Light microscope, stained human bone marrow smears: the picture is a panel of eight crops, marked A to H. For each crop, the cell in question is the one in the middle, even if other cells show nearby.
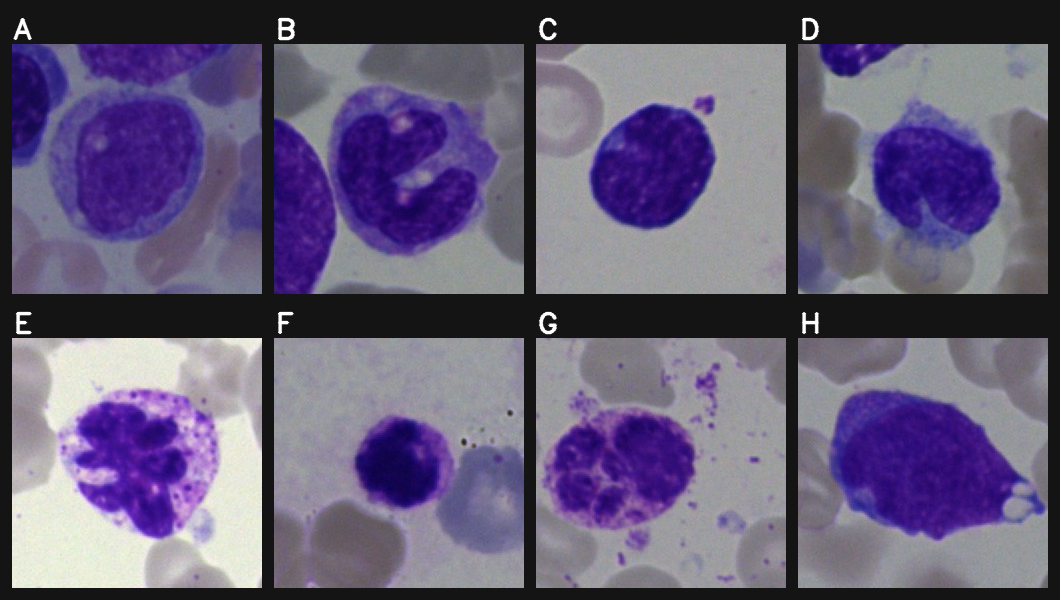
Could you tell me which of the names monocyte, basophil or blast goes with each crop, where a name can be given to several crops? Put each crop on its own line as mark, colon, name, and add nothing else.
A: monocyte
B: monocyte
C: blast
D: monocyte
E: basophil
F: basophil
G: basophil
H: blast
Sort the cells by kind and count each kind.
monocyte: 3
basophil: 3
blast: 2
